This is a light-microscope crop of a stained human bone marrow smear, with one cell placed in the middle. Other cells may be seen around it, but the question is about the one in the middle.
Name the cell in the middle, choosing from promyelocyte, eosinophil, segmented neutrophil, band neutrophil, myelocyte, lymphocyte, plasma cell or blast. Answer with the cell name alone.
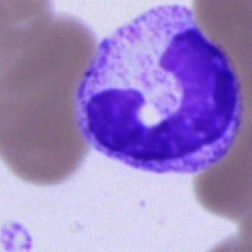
band neutrophil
